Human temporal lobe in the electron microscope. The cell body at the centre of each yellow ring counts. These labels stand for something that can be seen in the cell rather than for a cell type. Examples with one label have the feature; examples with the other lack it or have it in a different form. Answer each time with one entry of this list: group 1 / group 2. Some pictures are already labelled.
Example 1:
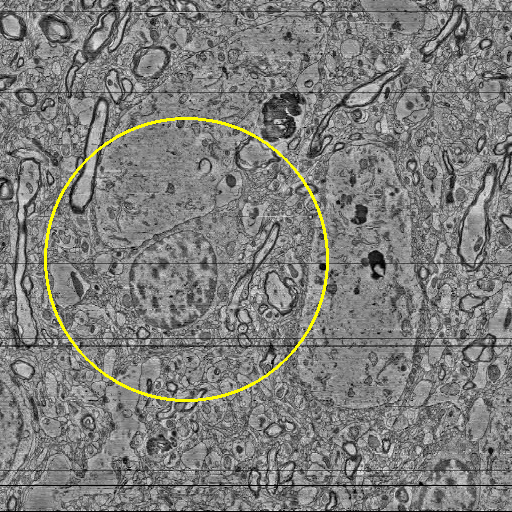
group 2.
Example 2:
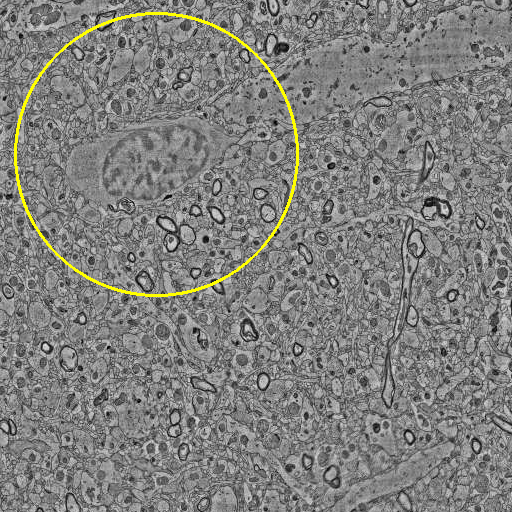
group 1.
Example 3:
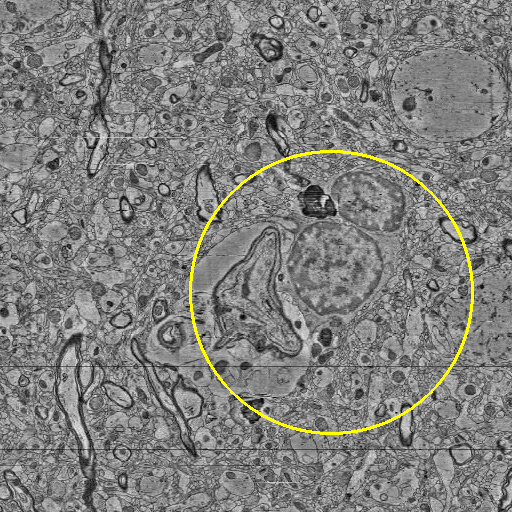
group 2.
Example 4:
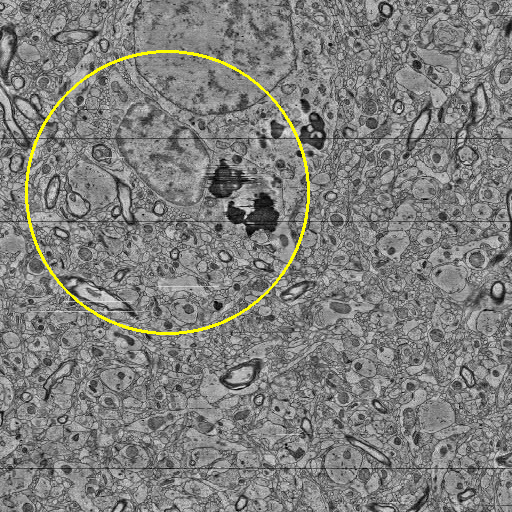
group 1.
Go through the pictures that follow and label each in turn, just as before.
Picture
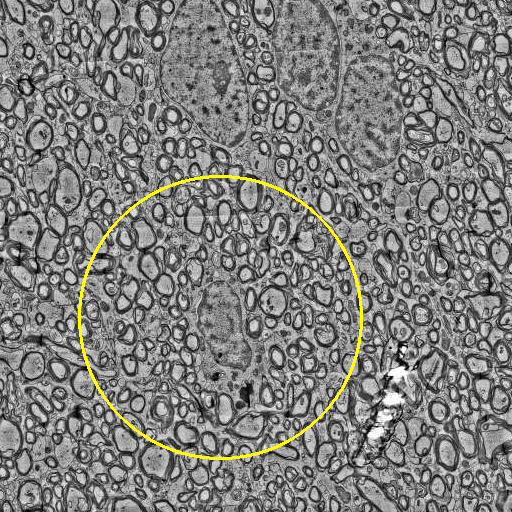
group 1.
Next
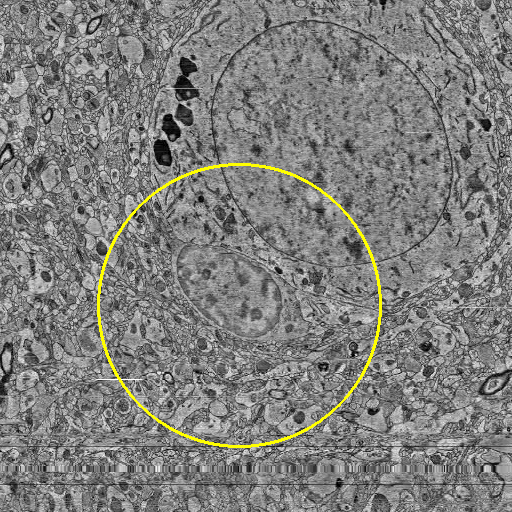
group 1.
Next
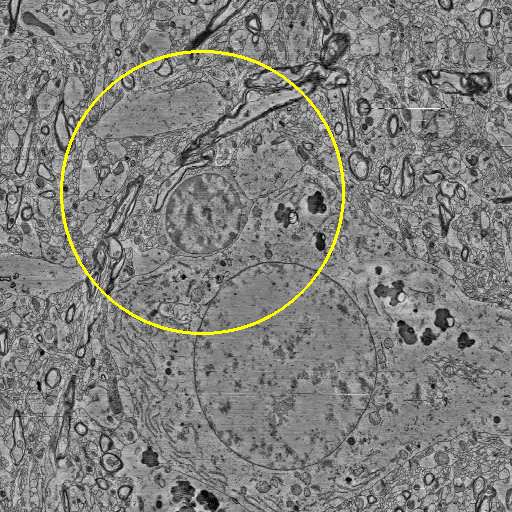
group 2.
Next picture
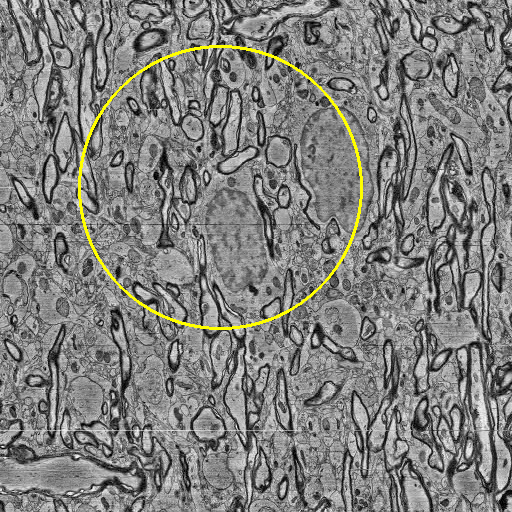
group 1.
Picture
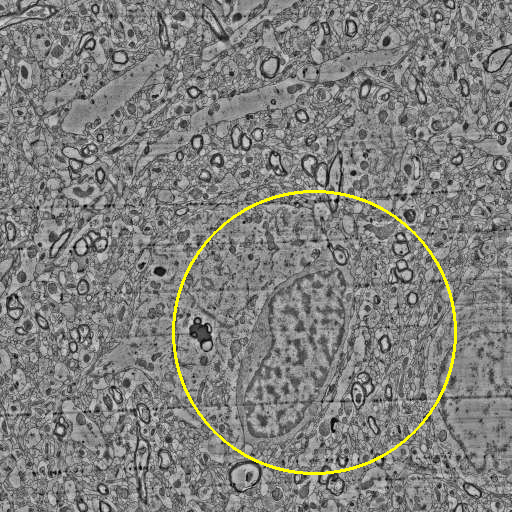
group 1.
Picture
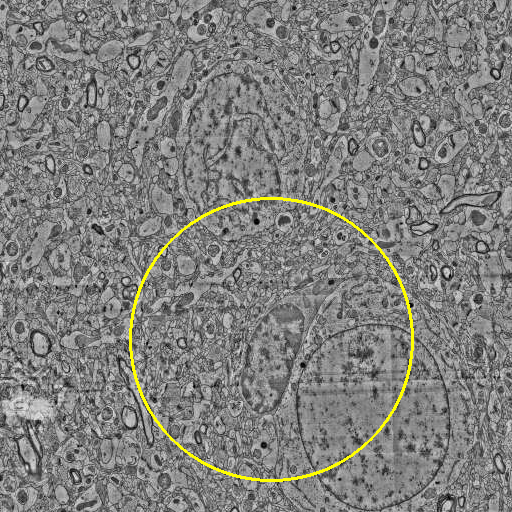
group 1.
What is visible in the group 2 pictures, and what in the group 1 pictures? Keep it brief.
group 2: round or nearly round nuclei; group 1: clearly elongated nuclei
